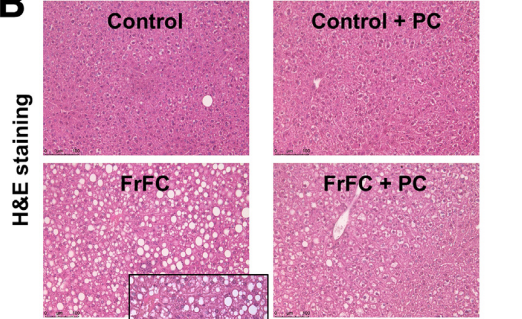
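These are four fields of liver, stained pink and purple, in which the tissue is made of liver cells packed in sheets and cords with small vessels running between them. In two of the fields the liver cells look fairly even, with pink cytoplasm and round dark nuclei, and only a few small clear spaces. In one field the tissue is crowded with round clear vacuoles, many large enough to push against the cells around them, so the tissue looks bubbly. The magnified inset from that field shows these empty round spaces of varying size lying among the pink liver cells, with some clusters of darker, smaller nuclei between them. The fourth field has fewer and smaller clear vacuoles than the bubbly one, with a vessel running through it.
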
